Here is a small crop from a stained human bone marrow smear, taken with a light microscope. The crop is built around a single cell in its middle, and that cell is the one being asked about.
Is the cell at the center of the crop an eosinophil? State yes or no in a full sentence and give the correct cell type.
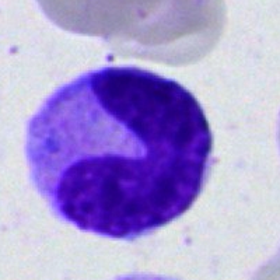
No, that guess of an eosinophil misses; the central cell is a band neutrophil.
